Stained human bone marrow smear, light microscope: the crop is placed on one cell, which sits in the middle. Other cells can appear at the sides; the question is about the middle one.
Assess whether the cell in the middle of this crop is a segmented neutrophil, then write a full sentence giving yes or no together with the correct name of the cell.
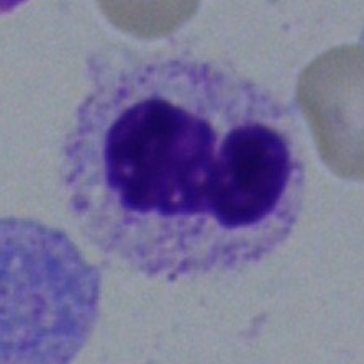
No, the cell in the middle is correctly named a band neutrophil, not a segmented neutrophil.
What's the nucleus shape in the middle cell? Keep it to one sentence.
It is worth mentioning that the nucleus carries two or more lobes.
